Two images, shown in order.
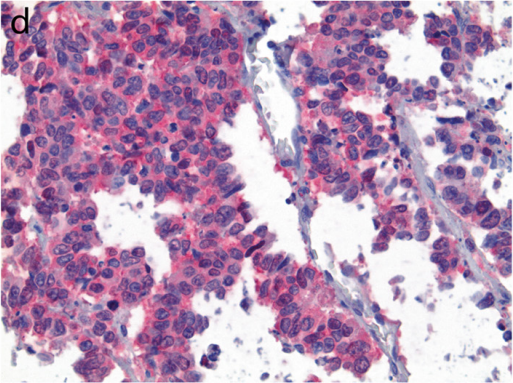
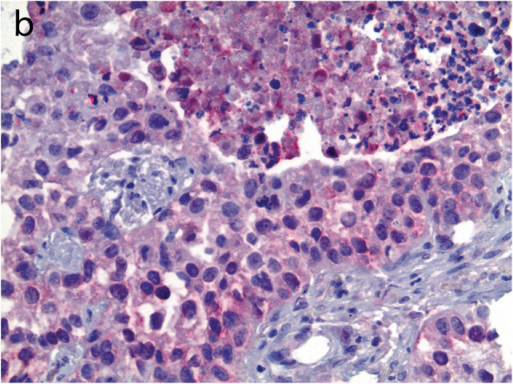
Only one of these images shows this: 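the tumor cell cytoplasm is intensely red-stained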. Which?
the first image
